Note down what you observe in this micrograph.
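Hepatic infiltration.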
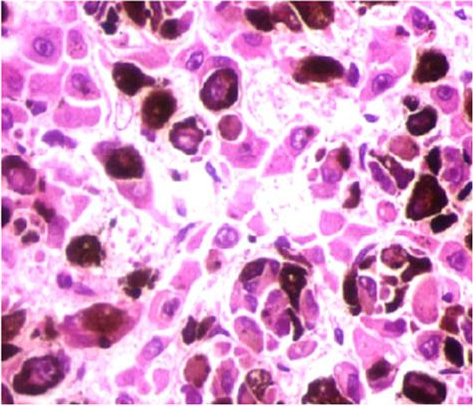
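This field is packed with large, atypical tumour cells of epithelioid appearance. They are polygonal, with ample pink cytoplasm and round to oval nuclei, many with a distinct nucleolus. Cell and nuclear size vary considerably. Many cells are loaded with coarse dark brown to black granular pigment that fills the cytoplasm and often hides the nucleus, while others are unpigmented and pink. Smaller cells with dark, compact nuclei are scattered between them. The cells lie in loose sheets with little intervening stroma.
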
